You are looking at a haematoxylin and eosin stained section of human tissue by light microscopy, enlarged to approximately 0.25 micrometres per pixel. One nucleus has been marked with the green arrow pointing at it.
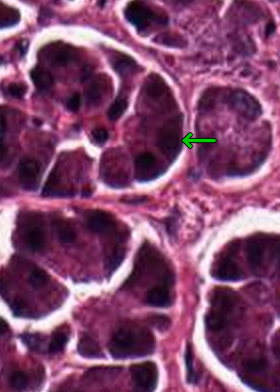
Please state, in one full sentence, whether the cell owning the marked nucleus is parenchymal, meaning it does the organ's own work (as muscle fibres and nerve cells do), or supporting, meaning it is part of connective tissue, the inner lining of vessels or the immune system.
The marked nucleus is assigned to a parenchymal cell, namely a pancreatic acinar cell.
